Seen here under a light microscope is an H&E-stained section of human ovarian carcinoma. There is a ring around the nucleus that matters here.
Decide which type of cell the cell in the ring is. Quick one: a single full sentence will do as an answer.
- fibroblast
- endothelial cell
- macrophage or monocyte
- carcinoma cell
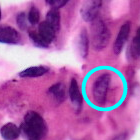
In terms of identity, the cell in the ring is an endothelial cell.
